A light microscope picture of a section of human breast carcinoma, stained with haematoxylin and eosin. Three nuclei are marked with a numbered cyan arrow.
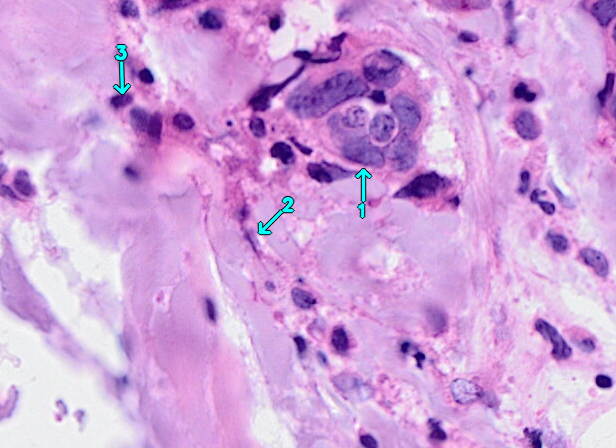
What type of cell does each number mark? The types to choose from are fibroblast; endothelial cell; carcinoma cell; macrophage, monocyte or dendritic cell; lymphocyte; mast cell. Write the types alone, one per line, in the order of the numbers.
carcinoma cell
fibroblast
lymphocyte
